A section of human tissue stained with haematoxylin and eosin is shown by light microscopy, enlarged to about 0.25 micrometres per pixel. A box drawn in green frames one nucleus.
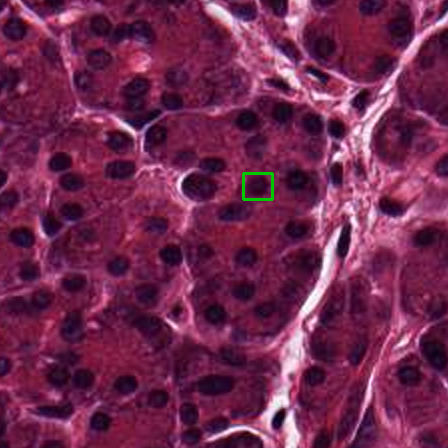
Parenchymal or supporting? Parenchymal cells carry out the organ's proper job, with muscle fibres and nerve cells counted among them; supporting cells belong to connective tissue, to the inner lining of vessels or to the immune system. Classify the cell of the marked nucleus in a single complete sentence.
The marked nucleus is the nucleus of a pancreatic acinar cell, a cell of the parenchyma.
